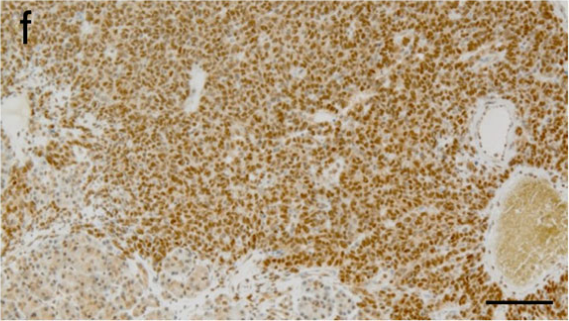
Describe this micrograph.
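A densely cellular tumour in which nearly every nucleus is stained brown, evenly across the sheet of cells. Rounded vascular spaces, one filled with pale proteinaceous material, interrupt the sheet, and the looser tissue at the lower left is much paler.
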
